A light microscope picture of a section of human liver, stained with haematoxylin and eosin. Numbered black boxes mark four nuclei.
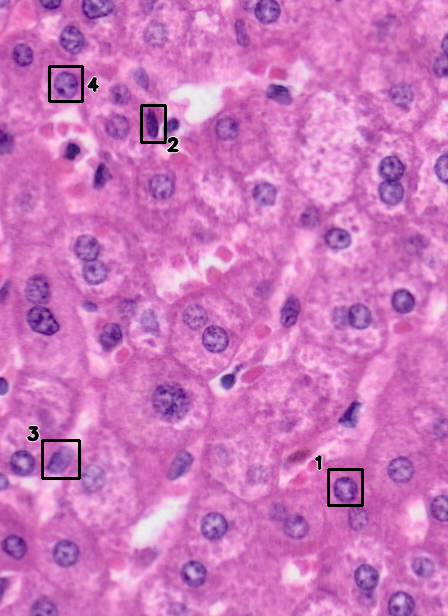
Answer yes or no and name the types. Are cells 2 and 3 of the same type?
No, cell 2 is a fibroblast or stellate cell and cell 3 is an endothelial cell.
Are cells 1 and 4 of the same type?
Yes, both are hepatocytes.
